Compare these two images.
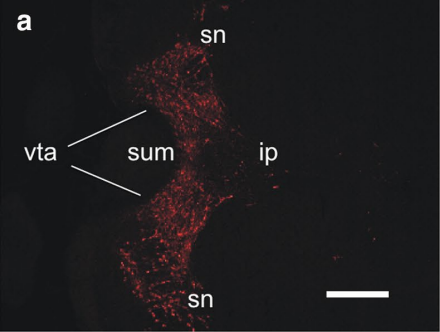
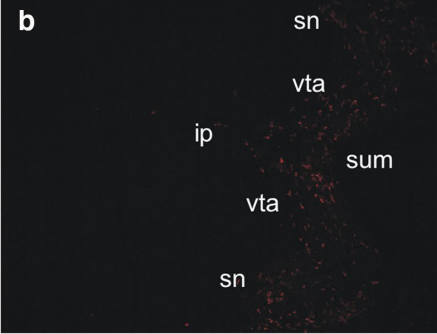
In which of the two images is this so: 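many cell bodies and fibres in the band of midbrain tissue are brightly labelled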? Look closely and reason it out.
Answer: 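Second image: only sparse scattered red dots along the band. So: the first image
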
